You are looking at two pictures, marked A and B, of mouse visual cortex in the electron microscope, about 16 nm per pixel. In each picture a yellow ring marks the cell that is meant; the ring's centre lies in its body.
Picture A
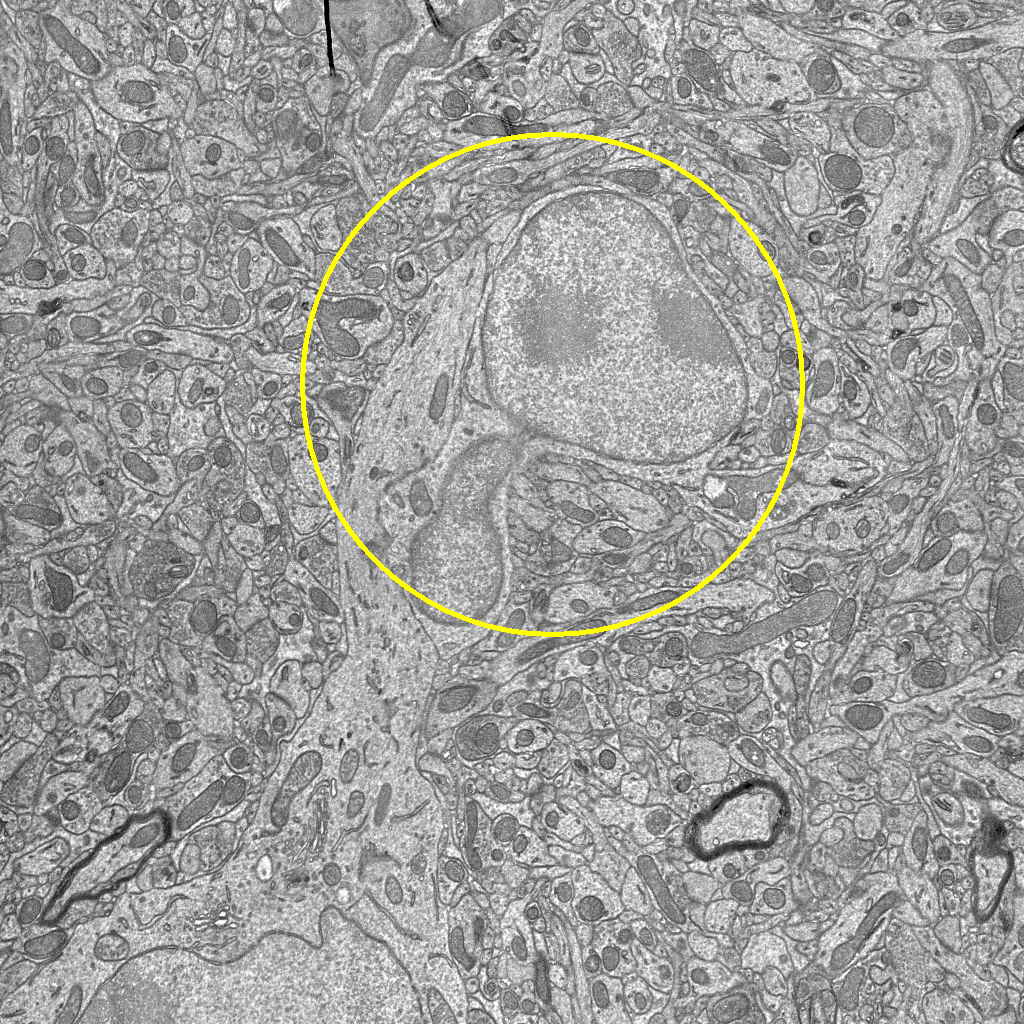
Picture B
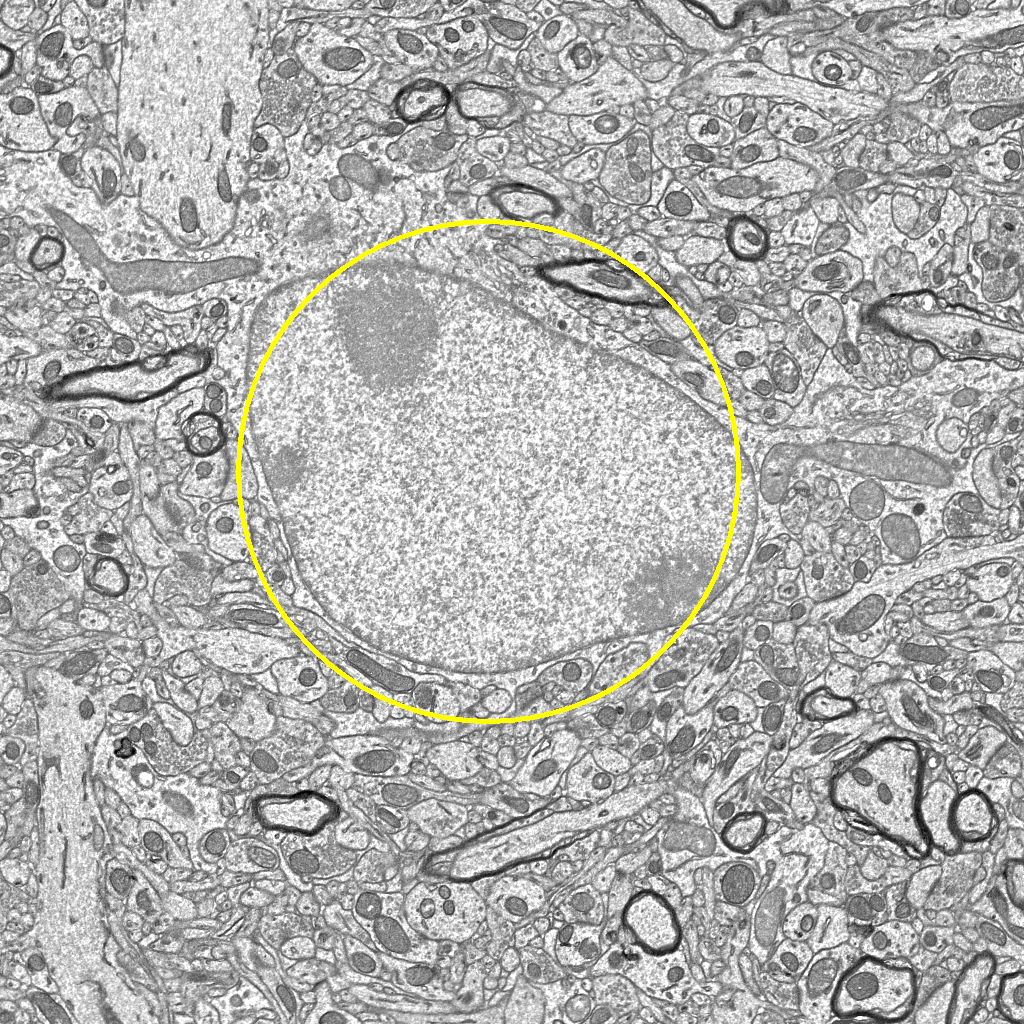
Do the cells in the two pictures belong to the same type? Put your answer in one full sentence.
No, picture A shows an oligodendrocyte precursor cell and picture B shows an astrocyte.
